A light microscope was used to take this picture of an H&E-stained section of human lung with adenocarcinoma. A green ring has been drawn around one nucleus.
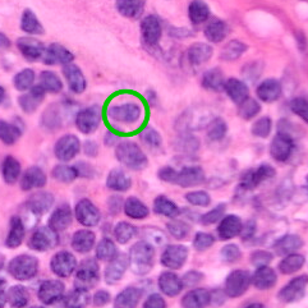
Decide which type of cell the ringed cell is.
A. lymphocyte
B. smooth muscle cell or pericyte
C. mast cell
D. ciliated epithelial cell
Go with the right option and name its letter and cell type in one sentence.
Option A names the ringed cell correctly as a lymphocyte.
